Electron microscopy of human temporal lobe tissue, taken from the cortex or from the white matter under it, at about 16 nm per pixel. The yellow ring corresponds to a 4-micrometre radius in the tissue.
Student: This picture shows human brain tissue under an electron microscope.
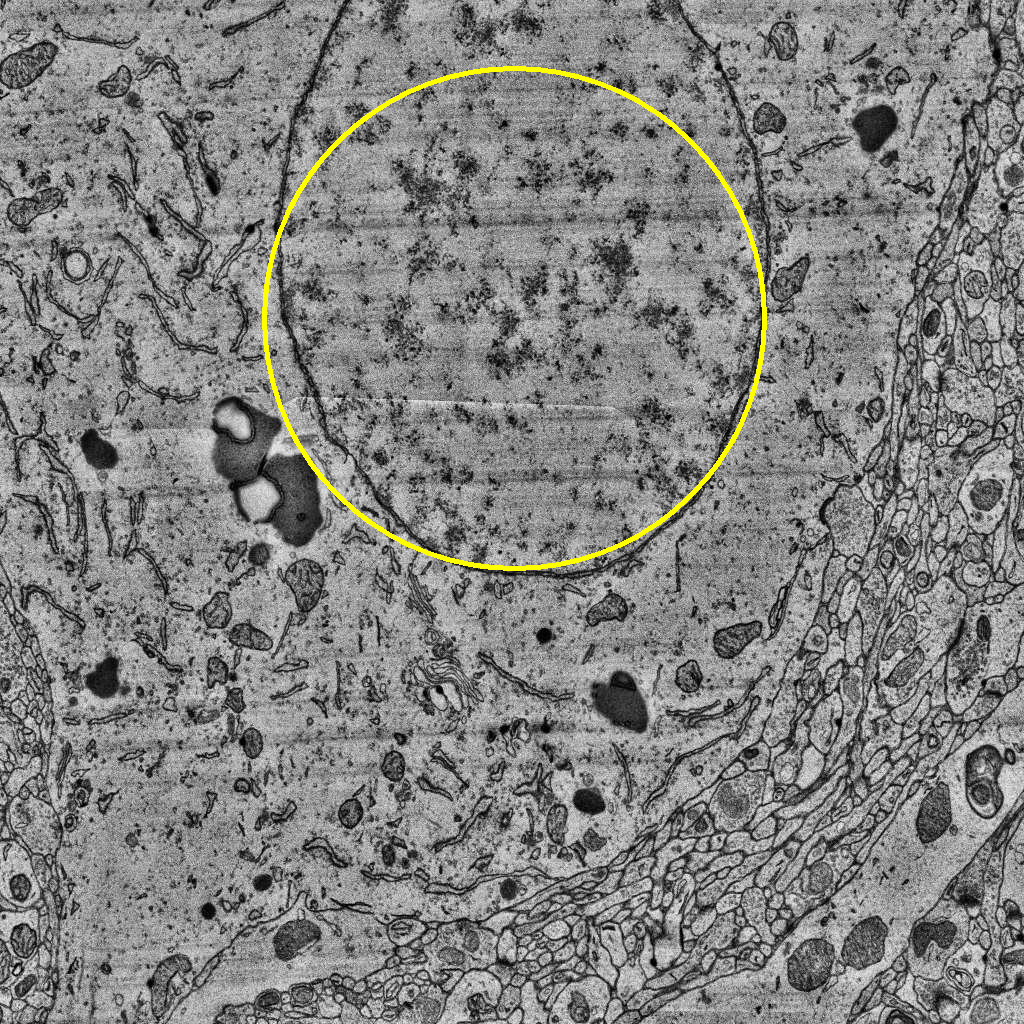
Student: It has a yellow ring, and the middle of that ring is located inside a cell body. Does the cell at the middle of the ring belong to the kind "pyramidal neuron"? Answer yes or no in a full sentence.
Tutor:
Yes, the cell at the middle of the ring in this picture is of that kind.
